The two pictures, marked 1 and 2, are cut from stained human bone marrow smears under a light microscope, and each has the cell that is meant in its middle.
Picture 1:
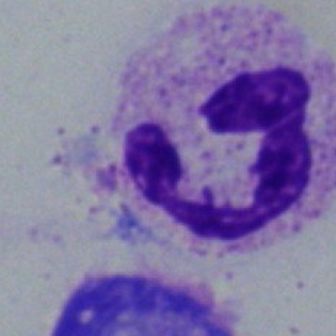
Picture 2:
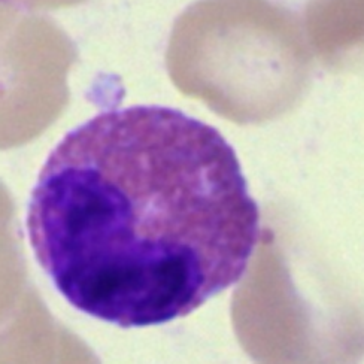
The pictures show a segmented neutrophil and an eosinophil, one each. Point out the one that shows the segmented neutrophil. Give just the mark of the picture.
1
